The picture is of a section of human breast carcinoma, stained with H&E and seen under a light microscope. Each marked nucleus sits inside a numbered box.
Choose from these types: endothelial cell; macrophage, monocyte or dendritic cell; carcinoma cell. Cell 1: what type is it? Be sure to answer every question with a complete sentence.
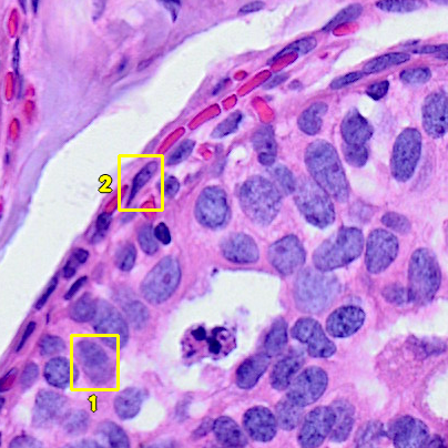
The cell given label 1 is a carcinoma cell.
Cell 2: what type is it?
Numbered cell 2 is an endothelial cell in this tissue section.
